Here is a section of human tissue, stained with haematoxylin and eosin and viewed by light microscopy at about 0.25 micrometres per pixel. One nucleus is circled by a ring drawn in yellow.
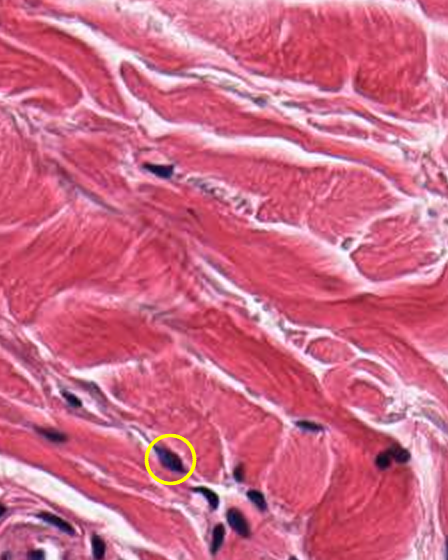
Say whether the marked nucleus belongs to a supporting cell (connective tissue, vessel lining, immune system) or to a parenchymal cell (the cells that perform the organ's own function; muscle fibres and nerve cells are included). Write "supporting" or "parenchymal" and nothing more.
supporting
